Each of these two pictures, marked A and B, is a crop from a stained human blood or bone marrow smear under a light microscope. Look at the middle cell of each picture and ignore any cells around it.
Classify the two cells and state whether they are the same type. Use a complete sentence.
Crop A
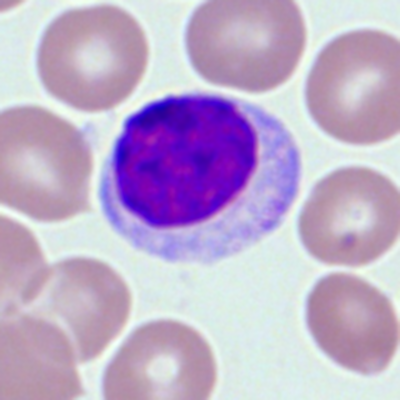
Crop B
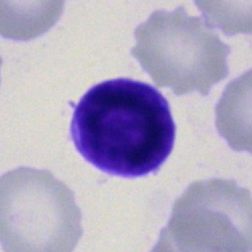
Yes, both crops show lymphocytes in the middle.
